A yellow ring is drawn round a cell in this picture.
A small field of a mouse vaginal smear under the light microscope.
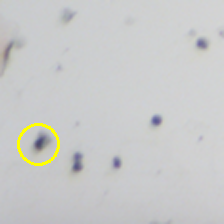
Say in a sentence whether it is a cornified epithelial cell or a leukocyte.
The cell in the ring is a leukocyte.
